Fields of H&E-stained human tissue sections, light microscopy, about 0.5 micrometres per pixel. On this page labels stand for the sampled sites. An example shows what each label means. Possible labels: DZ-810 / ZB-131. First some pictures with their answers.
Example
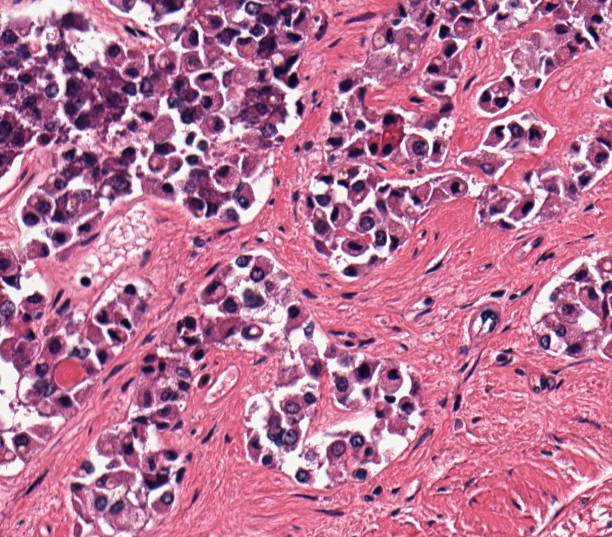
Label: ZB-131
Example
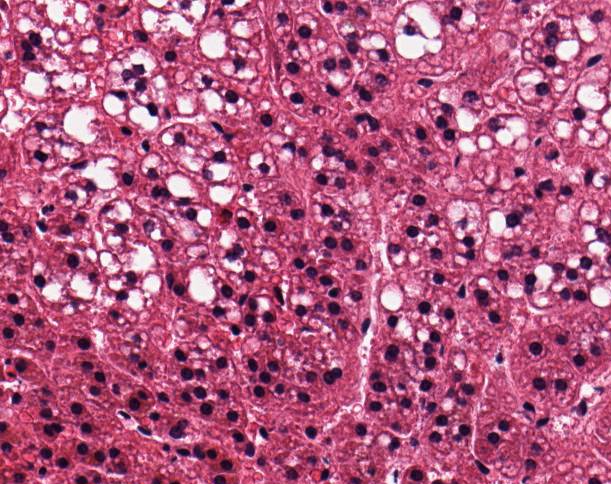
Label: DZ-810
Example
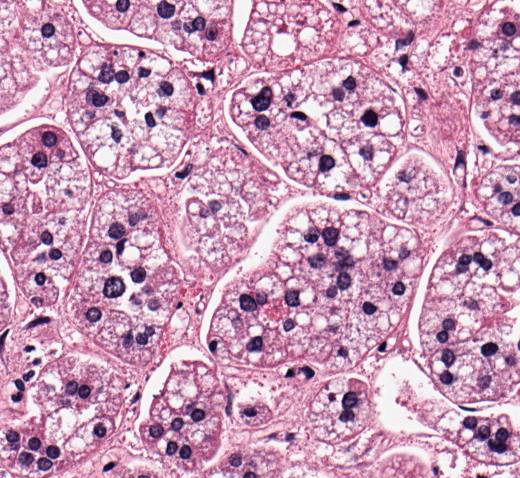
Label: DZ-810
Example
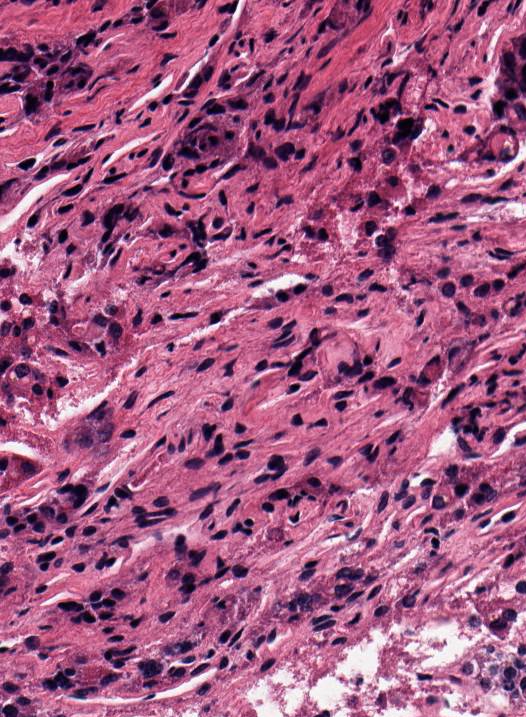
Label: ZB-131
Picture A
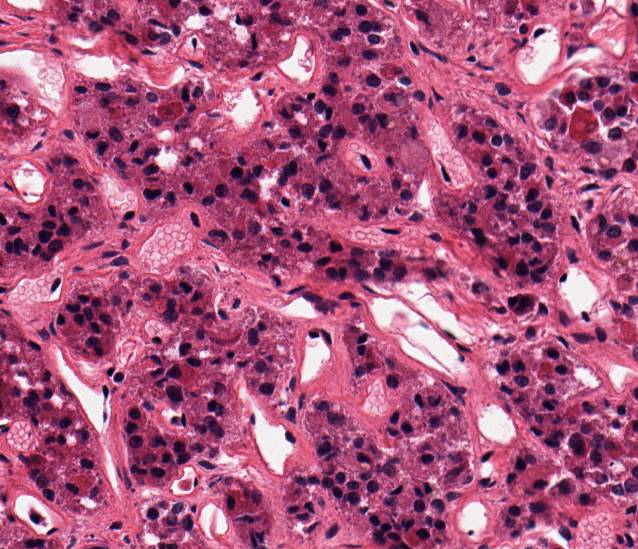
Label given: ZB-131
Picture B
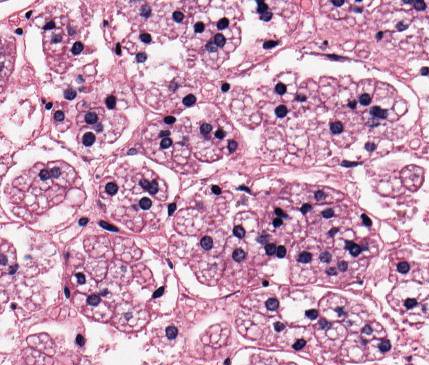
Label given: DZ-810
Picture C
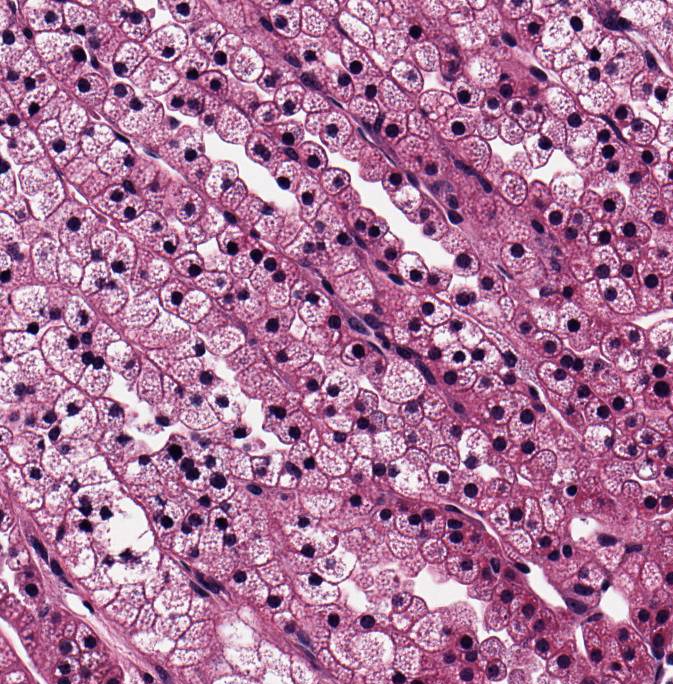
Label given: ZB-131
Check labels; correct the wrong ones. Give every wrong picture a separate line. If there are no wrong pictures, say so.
C: DZ-810, not ZB-131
